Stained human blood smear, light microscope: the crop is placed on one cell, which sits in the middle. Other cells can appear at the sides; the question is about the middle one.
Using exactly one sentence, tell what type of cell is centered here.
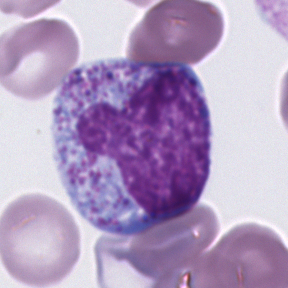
What the crop centres on is a myelocyte.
